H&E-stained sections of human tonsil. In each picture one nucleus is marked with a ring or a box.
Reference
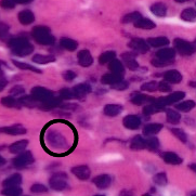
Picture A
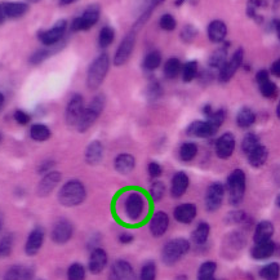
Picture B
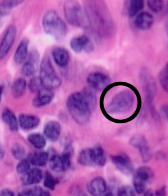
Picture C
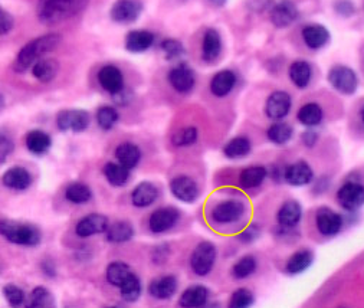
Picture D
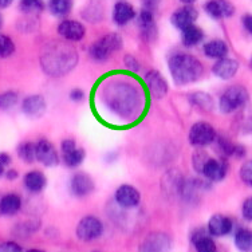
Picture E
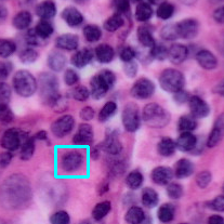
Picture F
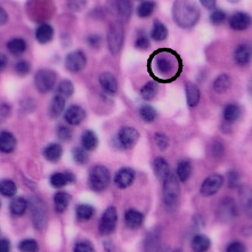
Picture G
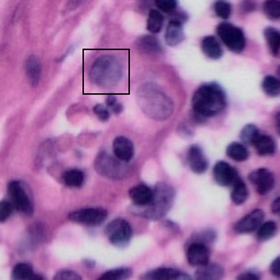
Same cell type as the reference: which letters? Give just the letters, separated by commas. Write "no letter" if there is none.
B, D, E, G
